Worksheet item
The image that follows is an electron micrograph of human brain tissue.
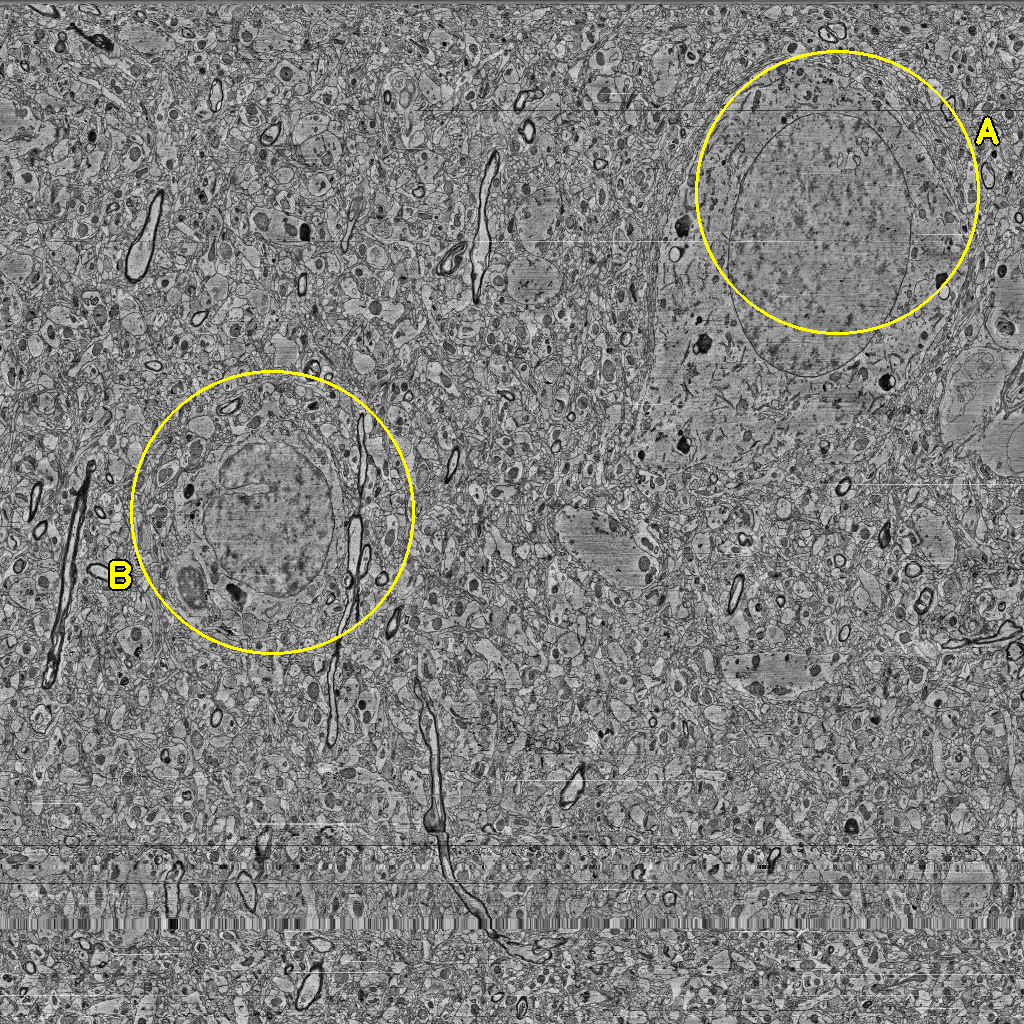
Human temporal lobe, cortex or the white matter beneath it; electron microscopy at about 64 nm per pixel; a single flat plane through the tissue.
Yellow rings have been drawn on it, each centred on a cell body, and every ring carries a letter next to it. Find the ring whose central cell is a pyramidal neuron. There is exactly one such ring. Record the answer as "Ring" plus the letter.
Ring A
